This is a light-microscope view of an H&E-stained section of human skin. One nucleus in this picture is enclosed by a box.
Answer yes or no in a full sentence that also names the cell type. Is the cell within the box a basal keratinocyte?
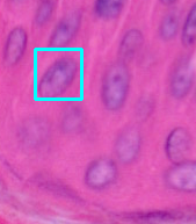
No, the correct identification of the cell within the box is a suprabasal keratinocyte, not a basal keratinocyte.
